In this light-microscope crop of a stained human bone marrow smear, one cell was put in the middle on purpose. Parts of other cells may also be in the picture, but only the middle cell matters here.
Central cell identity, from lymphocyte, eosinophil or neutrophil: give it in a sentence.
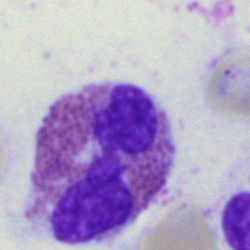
The cell centred in this crop is categorized as an eosinophil.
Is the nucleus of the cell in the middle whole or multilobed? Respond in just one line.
The nucleus here is split into two or more lobes, not one.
